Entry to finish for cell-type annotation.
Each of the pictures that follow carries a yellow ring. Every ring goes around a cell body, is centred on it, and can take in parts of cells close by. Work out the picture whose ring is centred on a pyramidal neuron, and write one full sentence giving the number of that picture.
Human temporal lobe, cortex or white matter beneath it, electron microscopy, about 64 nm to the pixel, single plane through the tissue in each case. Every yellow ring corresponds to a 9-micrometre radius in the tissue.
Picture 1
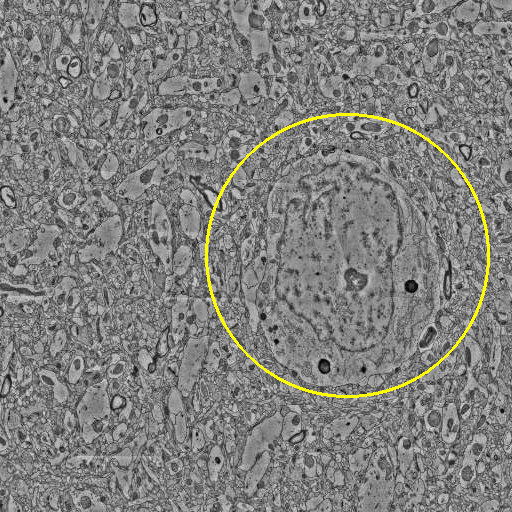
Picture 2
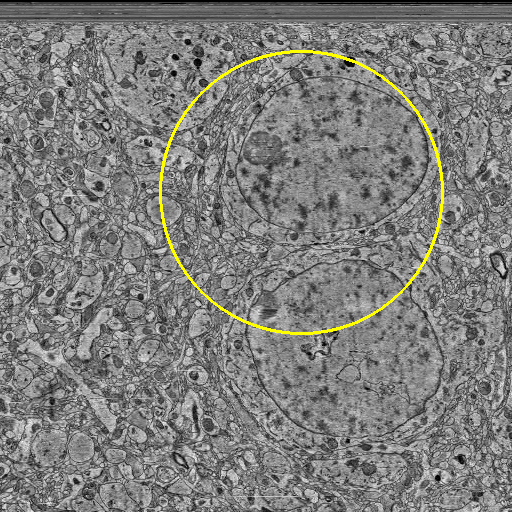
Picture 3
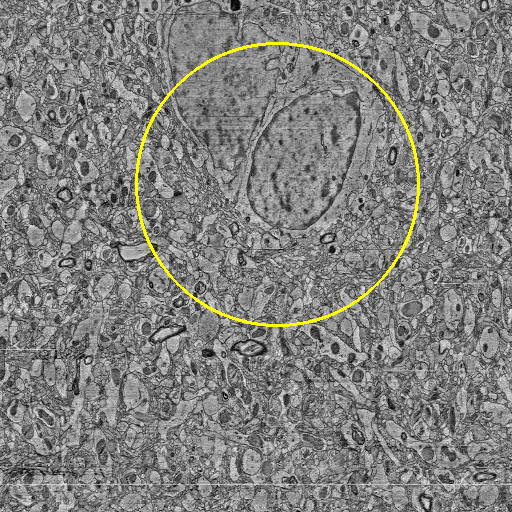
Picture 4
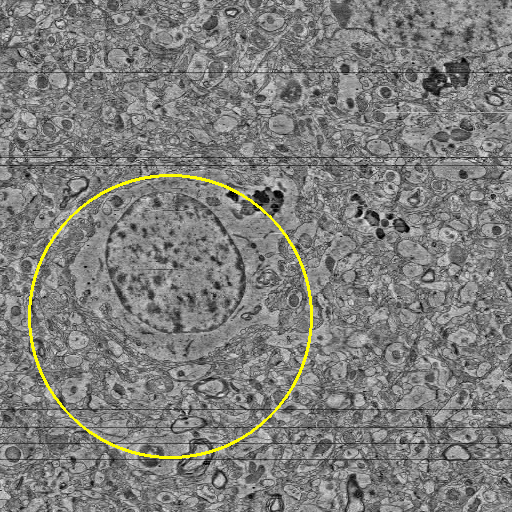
The cell at the heart of the ring in picture 2 matches the request.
